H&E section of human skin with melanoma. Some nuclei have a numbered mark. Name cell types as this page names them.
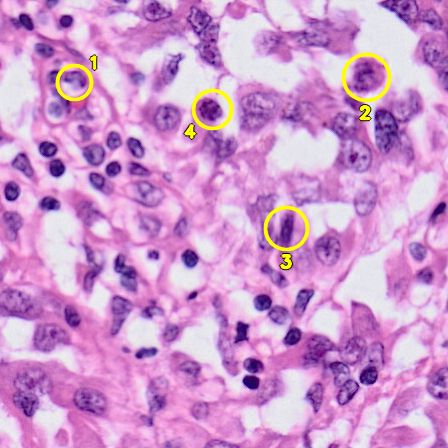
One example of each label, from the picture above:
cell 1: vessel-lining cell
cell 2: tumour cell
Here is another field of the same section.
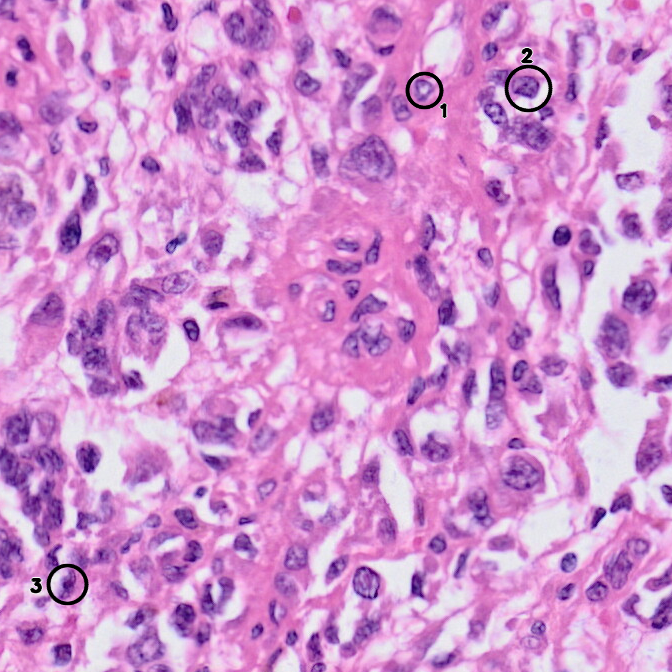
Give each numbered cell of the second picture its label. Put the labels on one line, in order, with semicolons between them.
vessel-lining cell; tumour cell; tumour cell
